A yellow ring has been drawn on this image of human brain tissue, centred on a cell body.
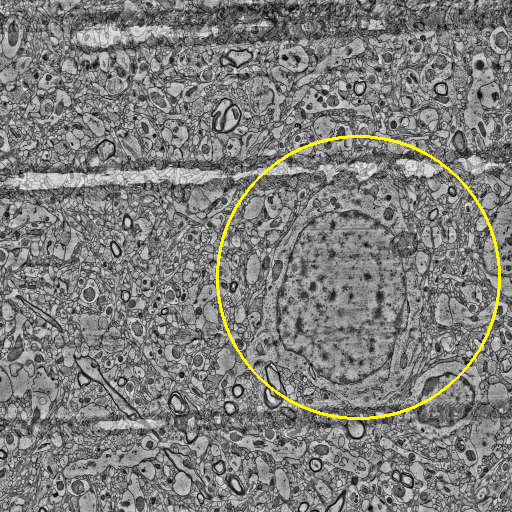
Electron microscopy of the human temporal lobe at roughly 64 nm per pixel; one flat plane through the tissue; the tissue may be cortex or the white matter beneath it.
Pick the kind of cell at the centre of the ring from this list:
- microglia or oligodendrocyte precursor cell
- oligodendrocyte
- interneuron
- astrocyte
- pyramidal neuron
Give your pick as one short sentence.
The centre of the ring holds an interneuron.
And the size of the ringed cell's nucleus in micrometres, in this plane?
In this plane the nucleus measures roughly 11 by 9 micrometres.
